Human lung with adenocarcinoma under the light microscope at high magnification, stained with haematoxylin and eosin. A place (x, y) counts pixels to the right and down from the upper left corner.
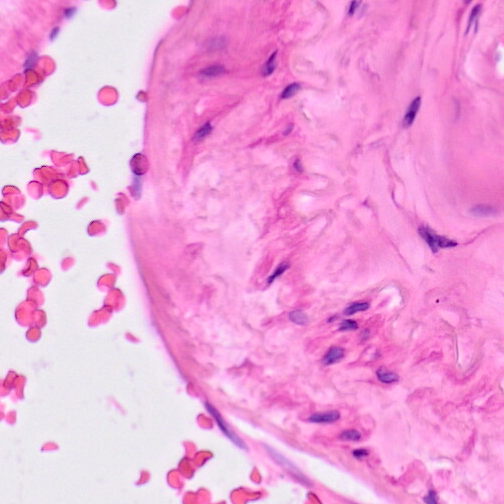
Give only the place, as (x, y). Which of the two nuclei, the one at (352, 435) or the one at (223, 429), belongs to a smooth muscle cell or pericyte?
(352, 435)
